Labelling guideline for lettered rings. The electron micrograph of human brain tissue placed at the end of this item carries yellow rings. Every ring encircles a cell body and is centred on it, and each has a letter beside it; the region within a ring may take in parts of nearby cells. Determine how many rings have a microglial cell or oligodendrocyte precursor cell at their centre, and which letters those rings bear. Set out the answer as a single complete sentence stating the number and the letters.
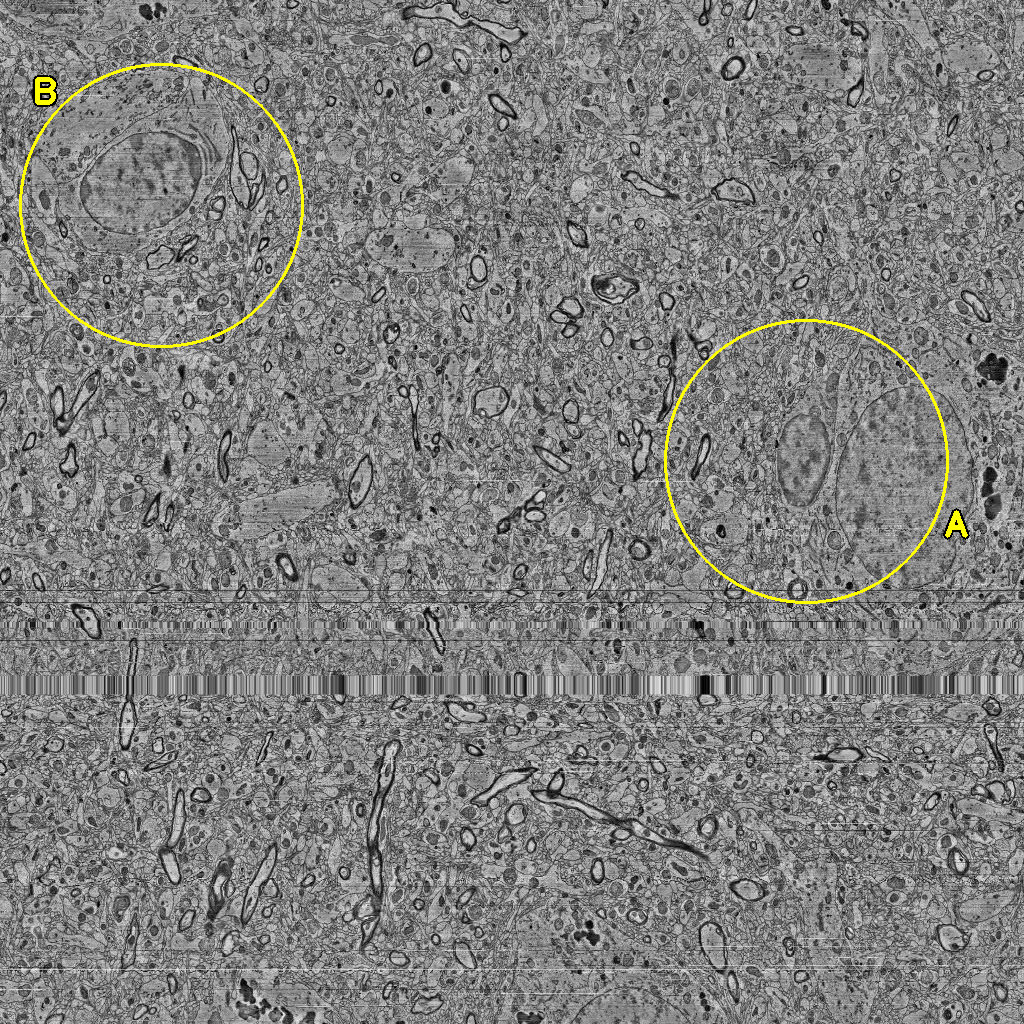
A single yellow ring is centred on a microglial cell or oligodendrocyte precursor cell, and that ring has the letter B.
